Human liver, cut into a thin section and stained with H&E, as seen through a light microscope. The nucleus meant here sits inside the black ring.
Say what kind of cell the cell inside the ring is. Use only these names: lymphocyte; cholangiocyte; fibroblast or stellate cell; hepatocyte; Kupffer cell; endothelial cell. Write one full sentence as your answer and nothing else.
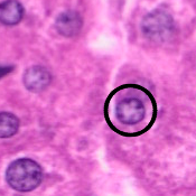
Placed in its cell category, the cell inside the ring is a hepatocyte.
